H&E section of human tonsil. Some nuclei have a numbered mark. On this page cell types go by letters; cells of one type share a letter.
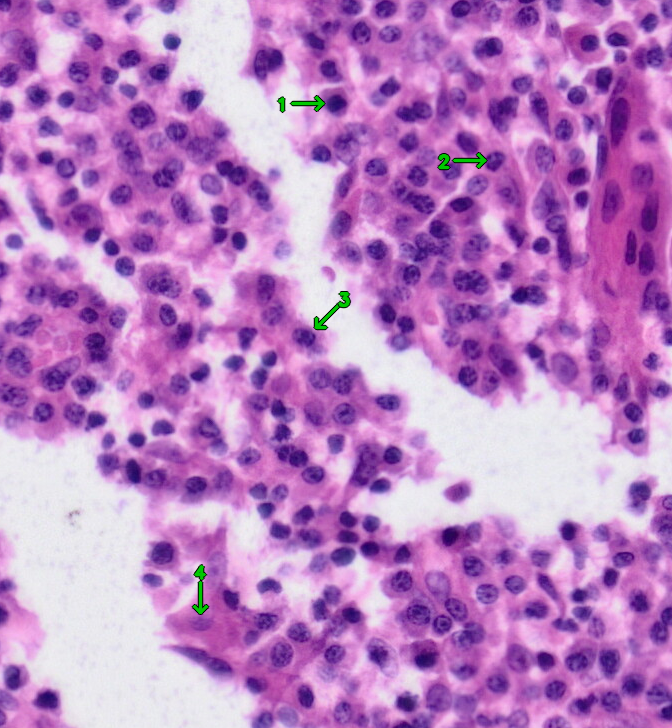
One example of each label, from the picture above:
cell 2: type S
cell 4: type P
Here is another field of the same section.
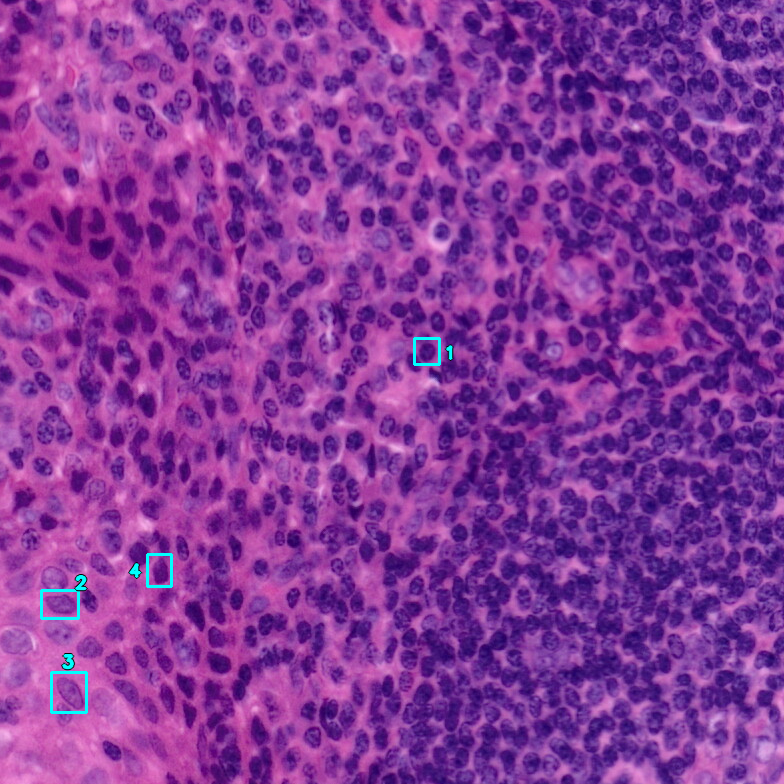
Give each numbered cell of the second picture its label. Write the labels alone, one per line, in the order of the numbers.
type S
type P
type P
type P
